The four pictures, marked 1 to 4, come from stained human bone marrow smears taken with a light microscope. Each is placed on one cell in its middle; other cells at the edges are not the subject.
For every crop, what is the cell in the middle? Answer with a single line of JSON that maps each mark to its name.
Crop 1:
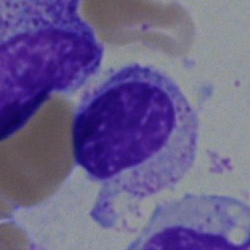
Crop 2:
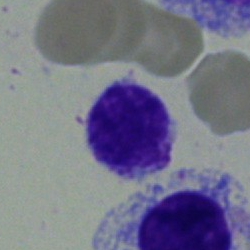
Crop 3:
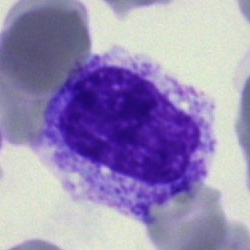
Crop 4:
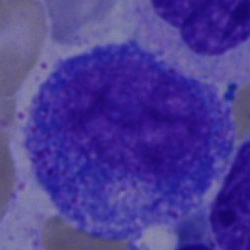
{"1": "myelocyte", "2": "lymphocyte", "3": "myelocyte", "4": "promyelocyte"}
